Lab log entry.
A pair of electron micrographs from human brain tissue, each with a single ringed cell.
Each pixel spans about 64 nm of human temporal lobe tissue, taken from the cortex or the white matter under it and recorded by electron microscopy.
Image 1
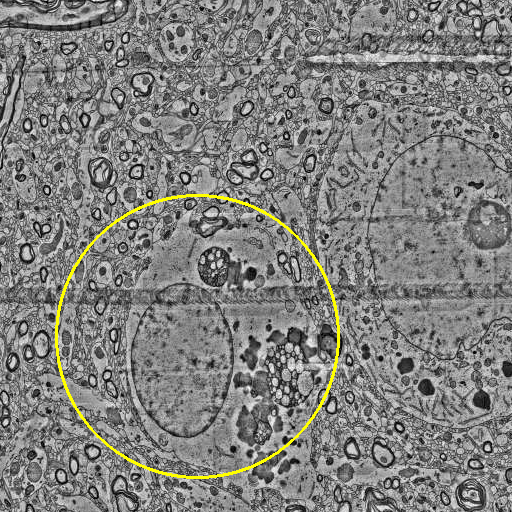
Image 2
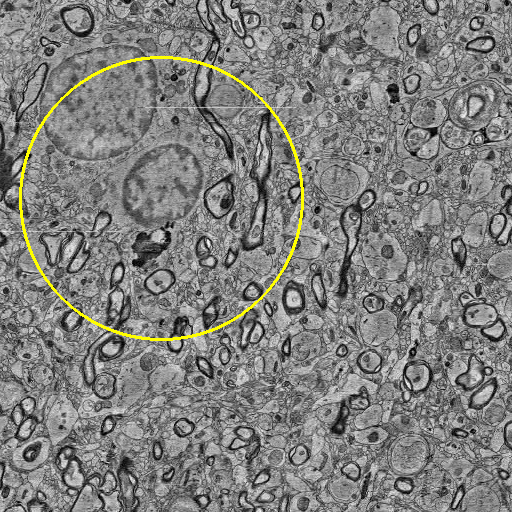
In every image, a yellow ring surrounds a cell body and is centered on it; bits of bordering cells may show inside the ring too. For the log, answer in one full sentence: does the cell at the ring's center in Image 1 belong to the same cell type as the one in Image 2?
No, the cells at the ring centers in Image 1 and Image 2 are of separate types.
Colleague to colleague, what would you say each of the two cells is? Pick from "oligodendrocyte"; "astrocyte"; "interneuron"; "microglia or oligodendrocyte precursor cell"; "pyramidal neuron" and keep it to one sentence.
The cell in the first picture is an astrocyte; the second picture's cell is an oligodendrocyte.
